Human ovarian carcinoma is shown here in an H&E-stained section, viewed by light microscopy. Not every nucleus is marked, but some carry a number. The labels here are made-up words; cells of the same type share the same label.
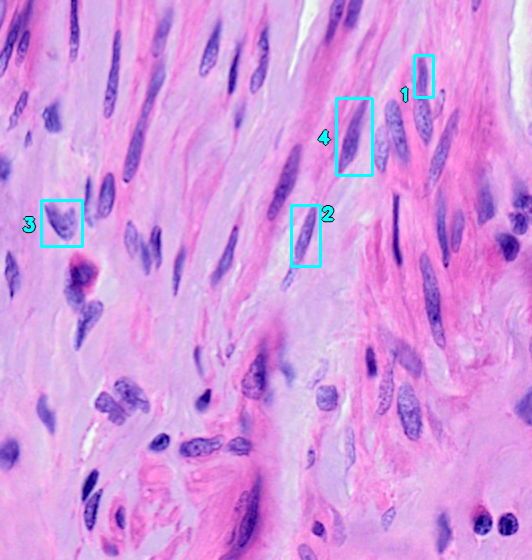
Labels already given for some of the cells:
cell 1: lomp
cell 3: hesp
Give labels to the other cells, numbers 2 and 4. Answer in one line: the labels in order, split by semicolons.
lomp; lomp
